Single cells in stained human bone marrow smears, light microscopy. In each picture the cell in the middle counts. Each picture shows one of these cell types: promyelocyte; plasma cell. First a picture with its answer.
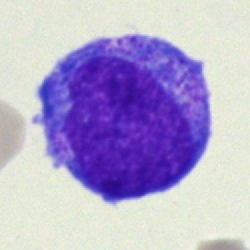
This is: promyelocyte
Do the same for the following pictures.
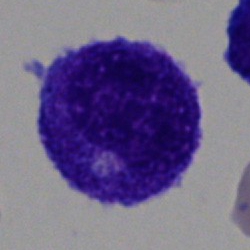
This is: promyelocyte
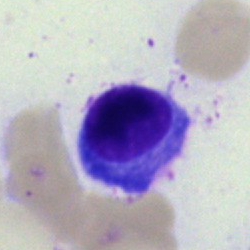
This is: plasma cell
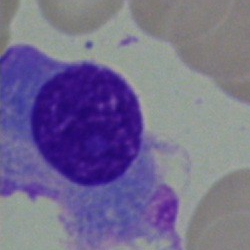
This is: plasma cell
